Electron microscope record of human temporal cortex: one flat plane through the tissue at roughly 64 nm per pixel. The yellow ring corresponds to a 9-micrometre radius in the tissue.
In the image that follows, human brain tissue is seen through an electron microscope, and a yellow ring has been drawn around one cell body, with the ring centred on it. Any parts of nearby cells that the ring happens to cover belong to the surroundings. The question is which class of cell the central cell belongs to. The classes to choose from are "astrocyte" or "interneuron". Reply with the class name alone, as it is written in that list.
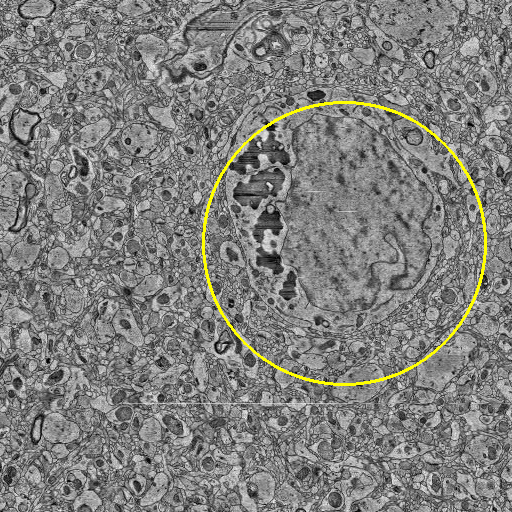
interneuron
